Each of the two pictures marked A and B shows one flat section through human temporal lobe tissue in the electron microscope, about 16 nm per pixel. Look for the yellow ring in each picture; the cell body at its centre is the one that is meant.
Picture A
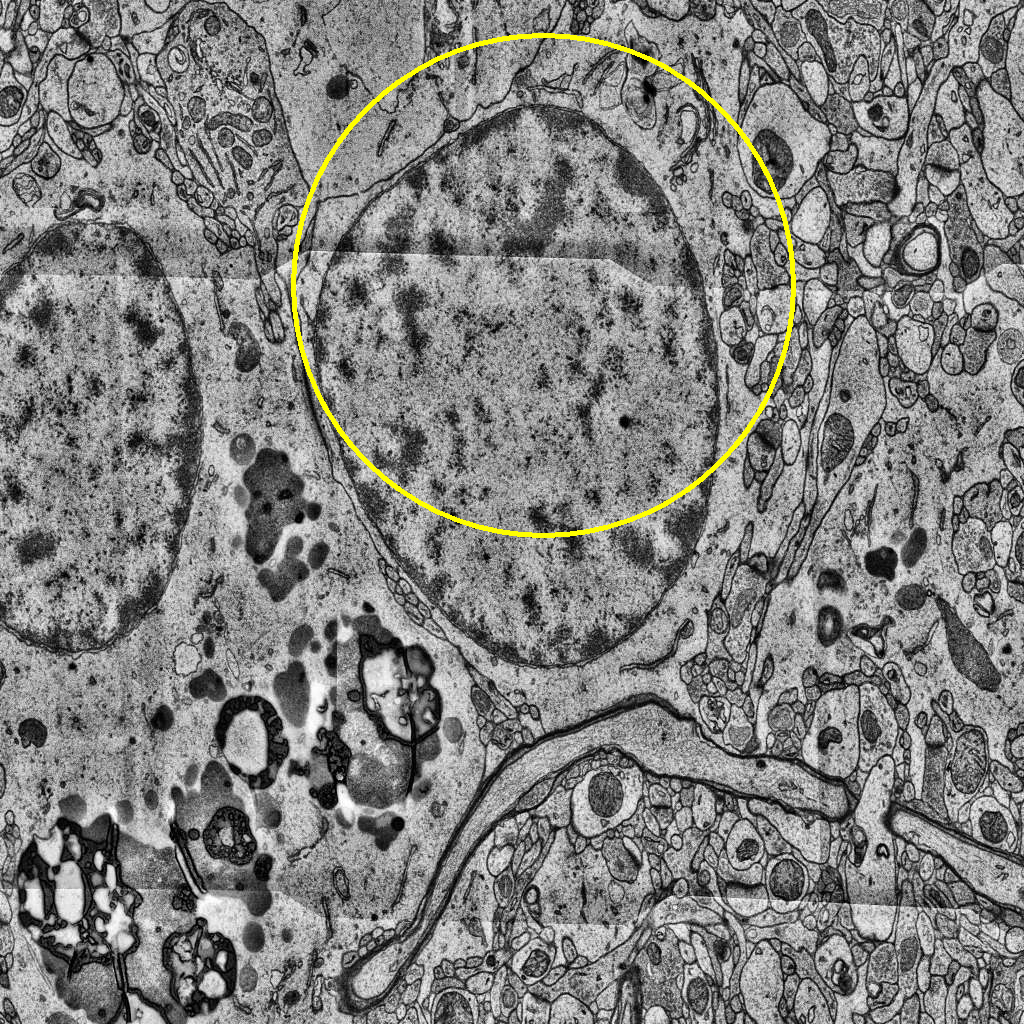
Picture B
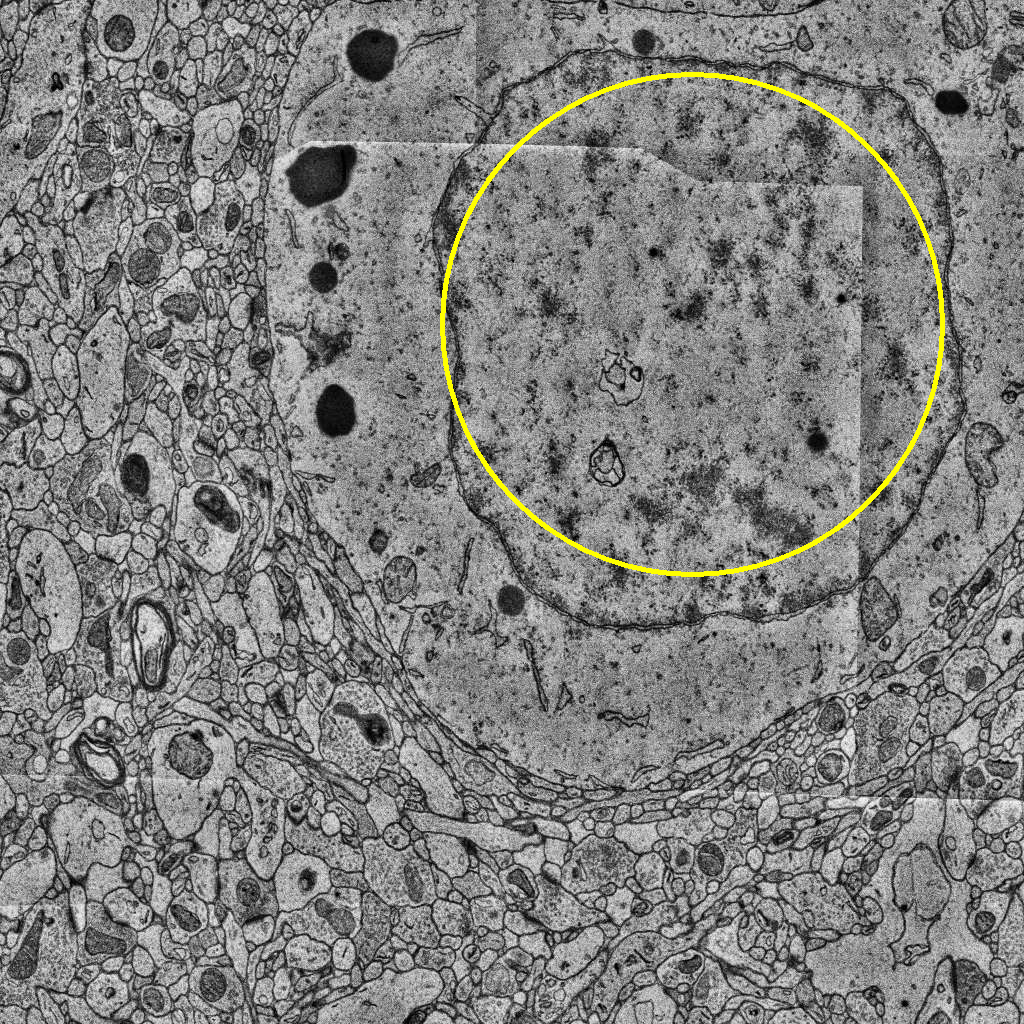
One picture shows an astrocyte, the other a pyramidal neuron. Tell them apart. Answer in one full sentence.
Picture A shows an astrocyte and picture B shows a pyramidal neuron.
